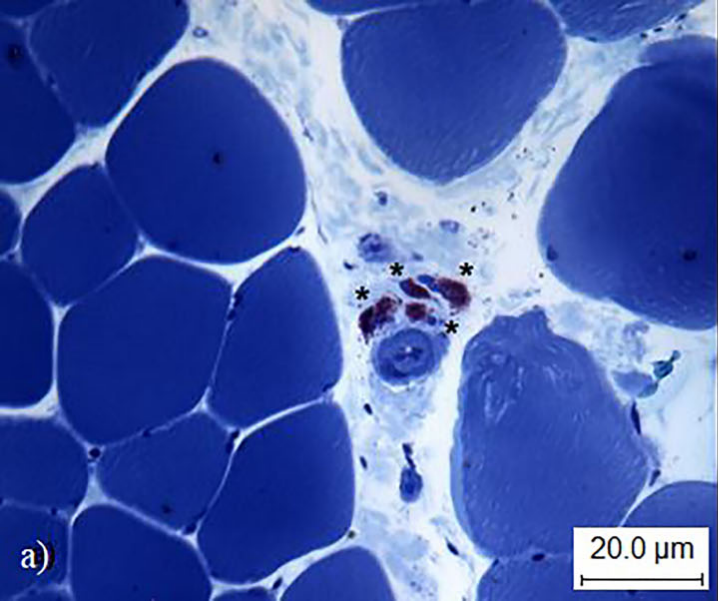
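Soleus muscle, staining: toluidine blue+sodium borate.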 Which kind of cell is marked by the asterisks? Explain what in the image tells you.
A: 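Mast cells. The marked cells are packed with dark purple-red granules, unlike the blue-stained surroundings. The marked cells lie in a small cluster between muscle fibres.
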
